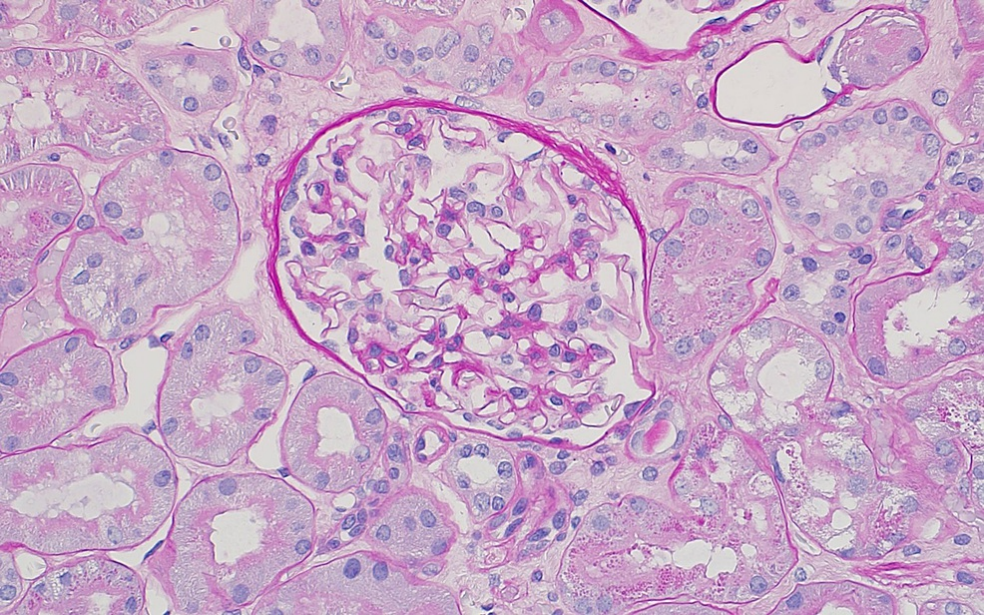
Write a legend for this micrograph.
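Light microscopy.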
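In the centre is a rounded tuft of delicate capillary loops. Their thin walls are outlined in magenta, and scattered blue nuclei sit between them. The tuft is held within a capsule with a crisp magenta border and a narrow clear space inside it. All around lie cross-sectioned tubules lined by cuboidal cells with pale pink, finely vacuolated cytoplasm and round nuclei, which together mark this as a glomerulus in the kidney cortex. The loops look thin and open, and the tuft is not crowded with cells.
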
